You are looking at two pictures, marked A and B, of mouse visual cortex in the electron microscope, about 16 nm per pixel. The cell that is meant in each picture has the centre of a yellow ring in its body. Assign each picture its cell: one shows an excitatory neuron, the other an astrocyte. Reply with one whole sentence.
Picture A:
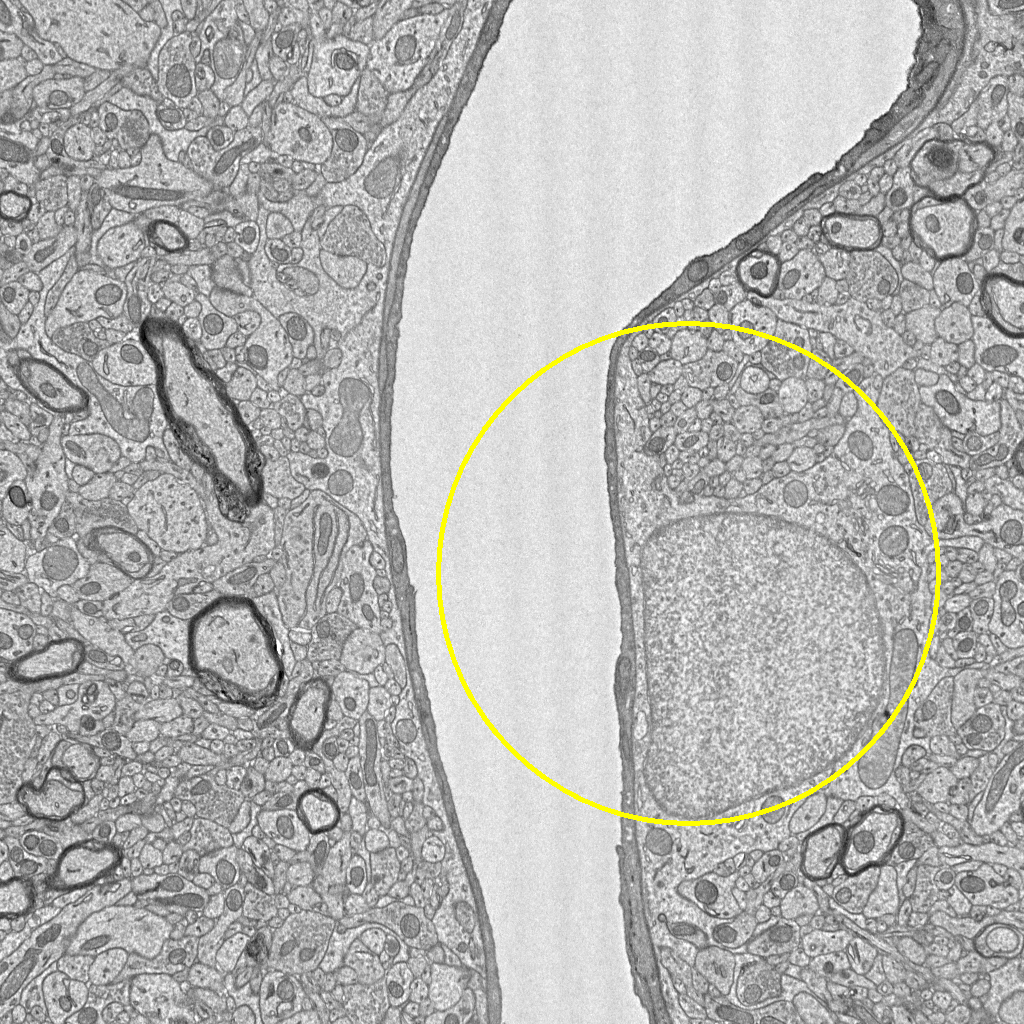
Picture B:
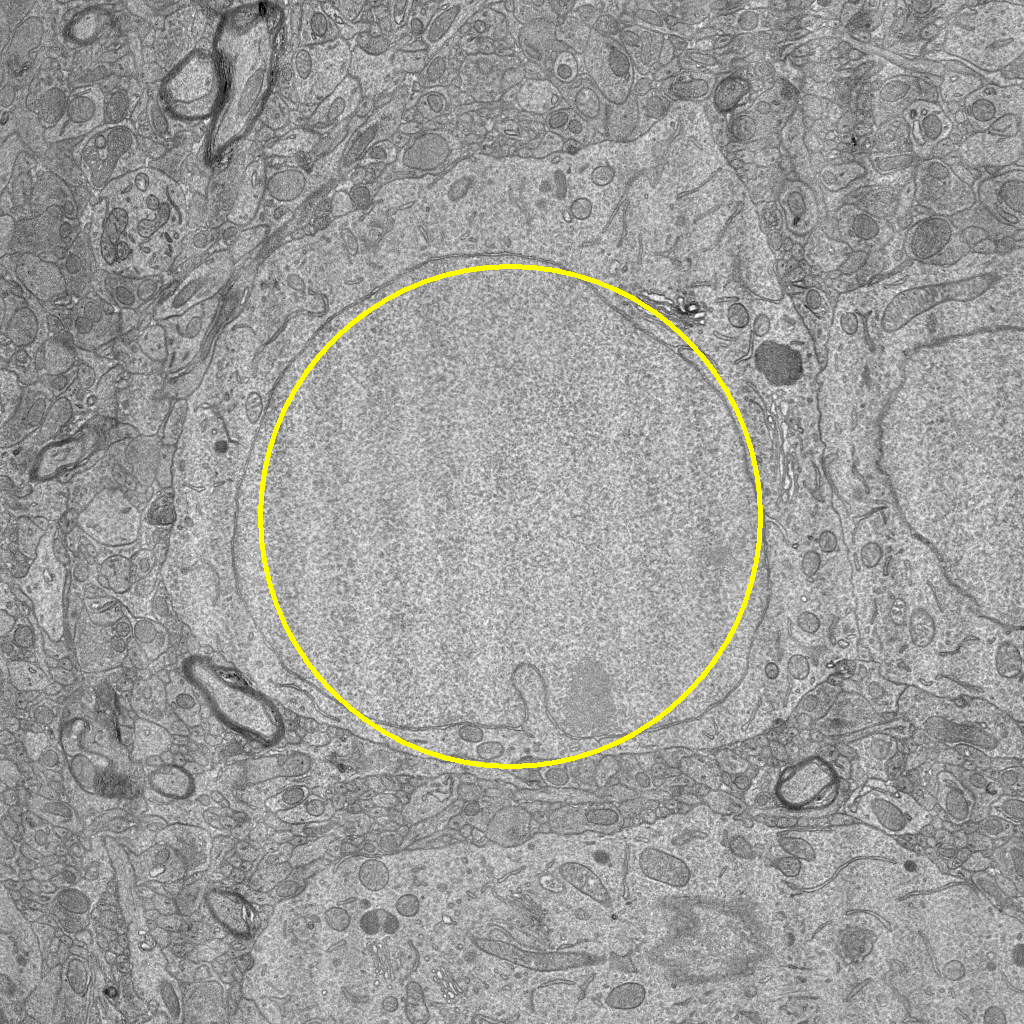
Picture B shows an excitatory neuron, while picture A shows an astrocyte.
